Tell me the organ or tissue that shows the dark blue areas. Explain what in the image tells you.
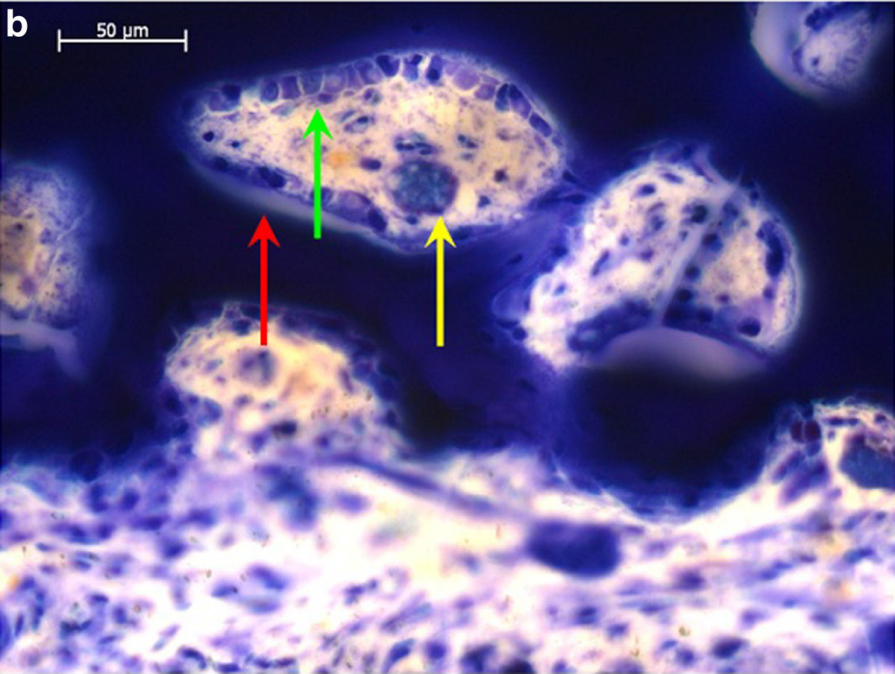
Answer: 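Mineralised bone. Broad dark blue regions surround pale islands of marrow tissue. The dark blue regions are lined by rows of cells at their edges.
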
